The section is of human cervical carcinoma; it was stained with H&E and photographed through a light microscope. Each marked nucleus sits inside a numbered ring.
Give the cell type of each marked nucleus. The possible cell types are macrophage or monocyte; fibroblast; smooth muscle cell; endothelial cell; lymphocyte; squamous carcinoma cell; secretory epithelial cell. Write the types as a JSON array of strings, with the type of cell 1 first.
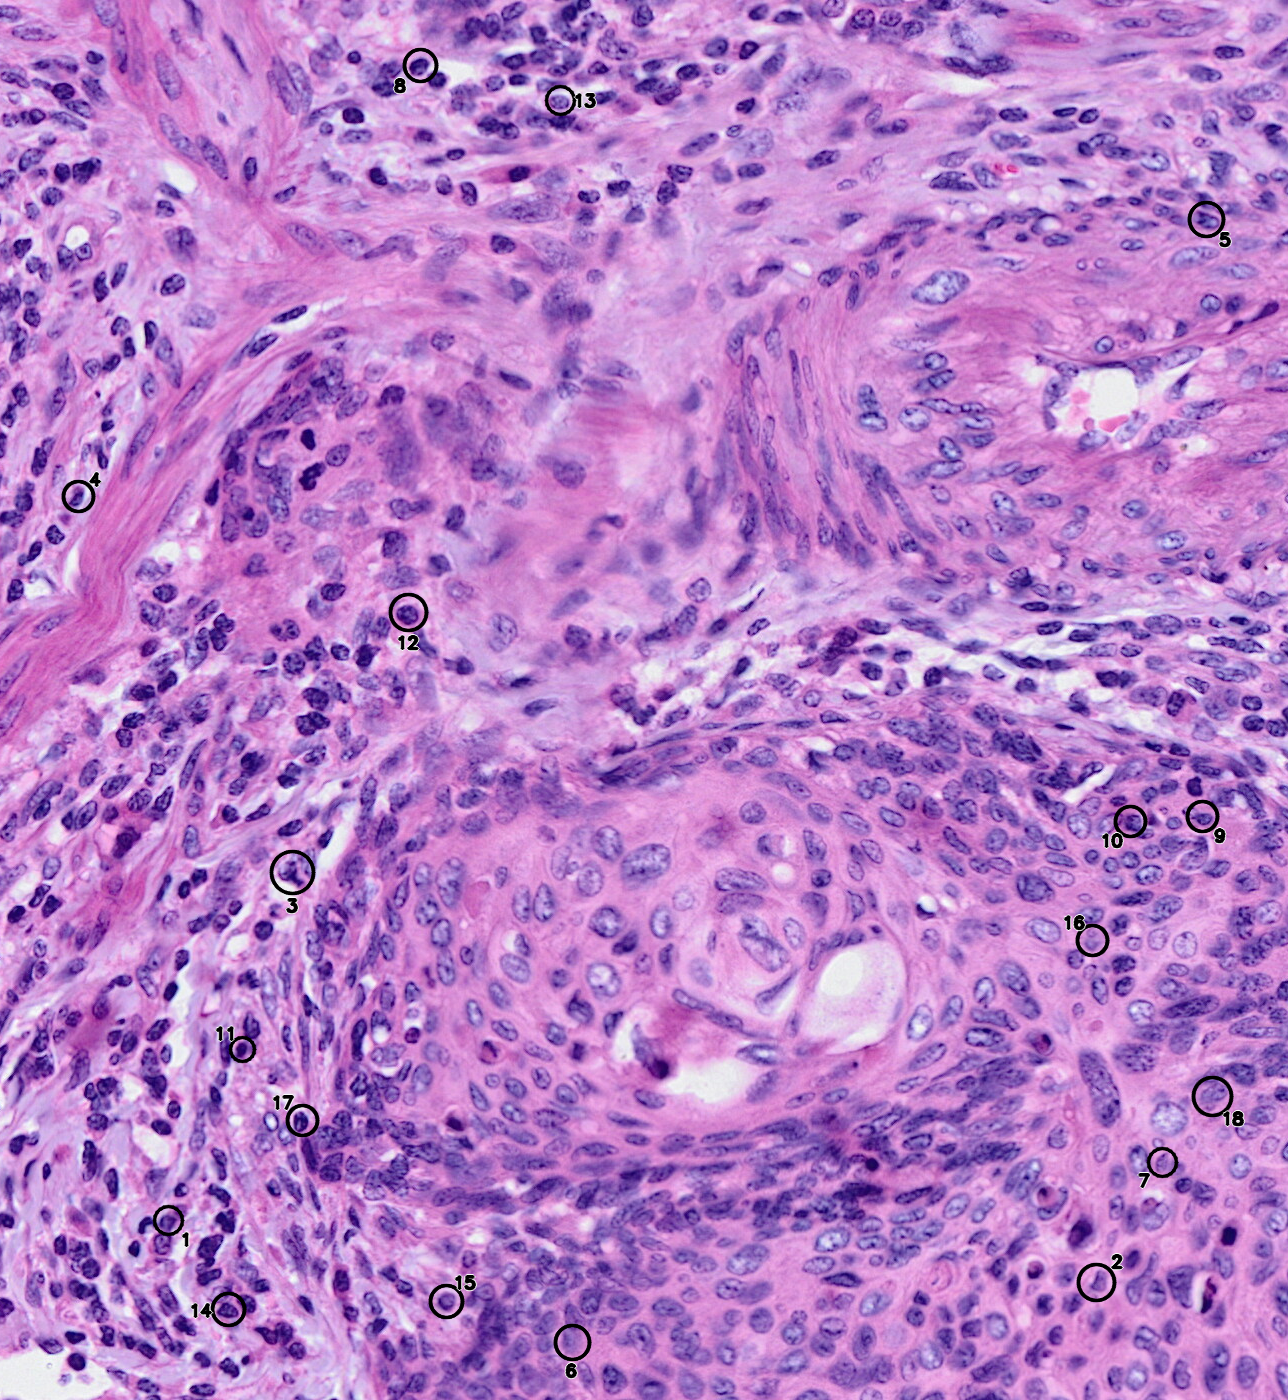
["lymphocyte", "squamous carcinoma cell", "lymphocyte", "lymphocyte", "smooth muscle cell", "squamous carcinoma cell", "squamous carcinoma cell", "lymphocyte", "squamous carcinoma cell", "squamous carcinoma cell", "lymphocyte", "lymphocyte", "lymphocyte", "lymphocyte", "lymphocyte", "squamous carcinoma cell", "lymphocyte", "squamous carcinoma cell"]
